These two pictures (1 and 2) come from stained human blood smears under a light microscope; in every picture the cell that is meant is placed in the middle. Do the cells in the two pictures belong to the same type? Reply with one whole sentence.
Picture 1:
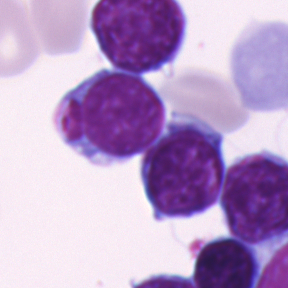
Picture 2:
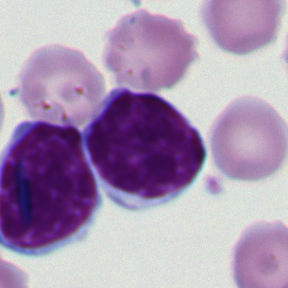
No, the types are not the same, since picture 1 shows a myeloblast and picture 2 a typical lymphocyte.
